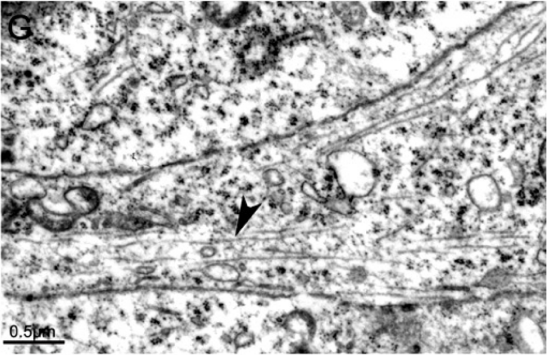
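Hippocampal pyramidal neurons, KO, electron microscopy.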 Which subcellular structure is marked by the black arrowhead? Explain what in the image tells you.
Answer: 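Microtubules. The arrowhead points to thin straight parallel filaments running along a longitudinally cut process. The filaments are few and spaced apart.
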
